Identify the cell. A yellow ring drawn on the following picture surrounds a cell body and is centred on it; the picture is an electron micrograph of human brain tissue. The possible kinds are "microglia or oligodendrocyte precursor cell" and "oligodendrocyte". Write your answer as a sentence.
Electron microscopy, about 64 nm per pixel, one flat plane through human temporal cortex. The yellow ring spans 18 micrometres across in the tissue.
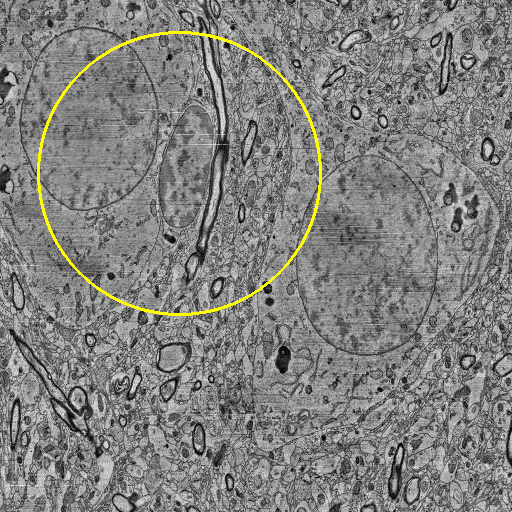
The cell identified by the ring is a microglial cell or oligodendrocyte precursor cell.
